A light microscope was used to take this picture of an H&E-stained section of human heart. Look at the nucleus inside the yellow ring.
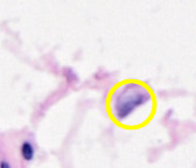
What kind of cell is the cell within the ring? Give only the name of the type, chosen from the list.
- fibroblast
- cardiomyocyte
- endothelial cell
fibroblast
